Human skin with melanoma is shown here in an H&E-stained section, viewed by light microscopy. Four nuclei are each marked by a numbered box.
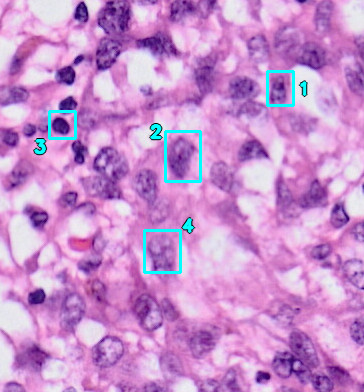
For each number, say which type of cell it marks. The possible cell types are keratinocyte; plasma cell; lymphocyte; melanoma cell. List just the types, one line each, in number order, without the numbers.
melanoma cell
melanoma cell
lymphocyte
melanoma cell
